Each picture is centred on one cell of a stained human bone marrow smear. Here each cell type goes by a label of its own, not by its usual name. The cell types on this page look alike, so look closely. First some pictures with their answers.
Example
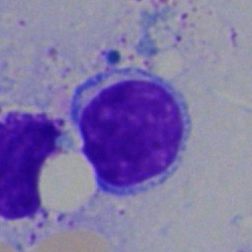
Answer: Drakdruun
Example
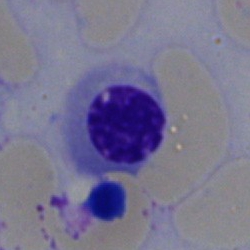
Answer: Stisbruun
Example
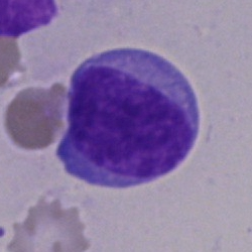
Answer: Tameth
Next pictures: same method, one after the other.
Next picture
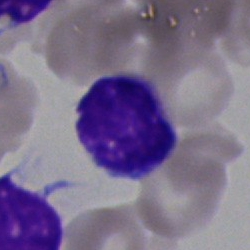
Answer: Drakdruun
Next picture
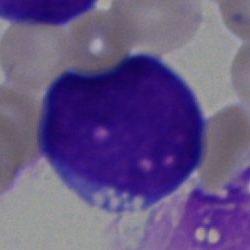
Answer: Tameth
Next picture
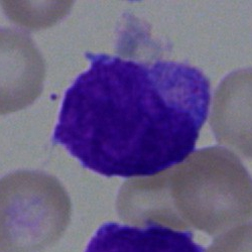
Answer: Tameth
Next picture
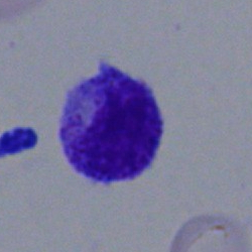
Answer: Drakdruun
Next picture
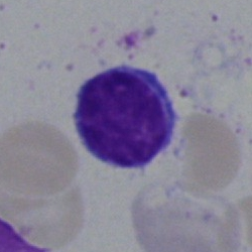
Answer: Drakdruun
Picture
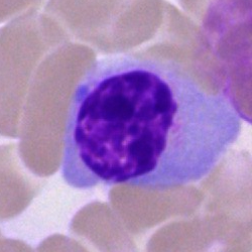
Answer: Stisbruun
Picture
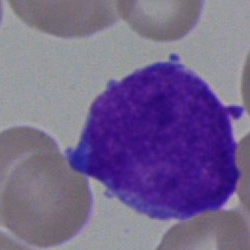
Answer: Tameth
